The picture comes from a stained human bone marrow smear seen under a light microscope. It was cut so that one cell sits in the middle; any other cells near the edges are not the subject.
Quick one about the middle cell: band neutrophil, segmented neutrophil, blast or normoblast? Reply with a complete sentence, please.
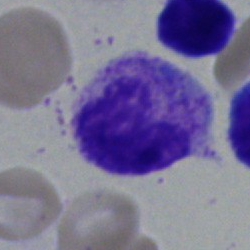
In the middle of this smear crop, the cell is a band neutrophil.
